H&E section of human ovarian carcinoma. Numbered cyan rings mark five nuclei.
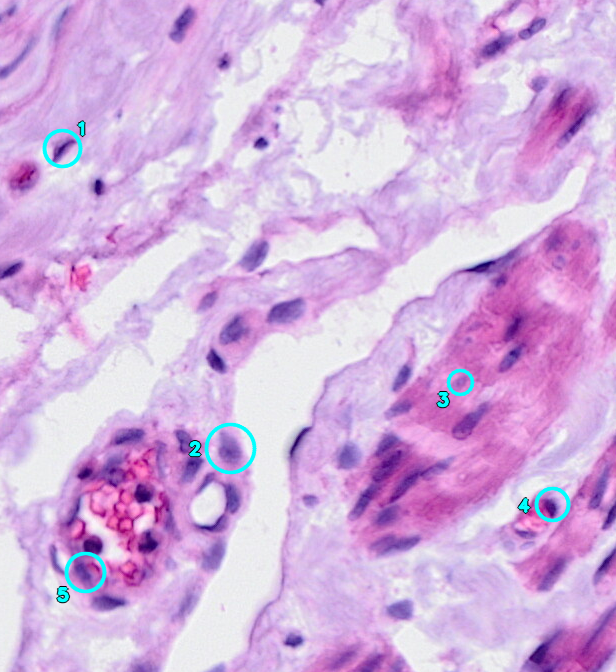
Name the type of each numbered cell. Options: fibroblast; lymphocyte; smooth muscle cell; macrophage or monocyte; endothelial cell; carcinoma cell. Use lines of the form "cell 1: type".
cell 1: fibroblast
cell 2: endothelial cell
cell 3: smooth muscle cell
cell 4: endothelial cell
cell 5: endothelial cell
